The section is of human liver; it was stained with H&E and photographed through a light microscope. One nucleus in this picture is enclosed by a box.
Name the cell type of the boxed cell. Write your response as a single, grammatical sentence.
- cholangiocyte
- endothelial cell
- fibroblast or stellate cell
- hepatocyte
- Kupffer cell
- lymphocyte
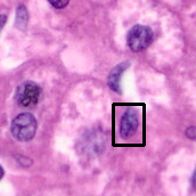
Speaking plainly, the boxed cell is nothing other than a fibroblast or stellate cell.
